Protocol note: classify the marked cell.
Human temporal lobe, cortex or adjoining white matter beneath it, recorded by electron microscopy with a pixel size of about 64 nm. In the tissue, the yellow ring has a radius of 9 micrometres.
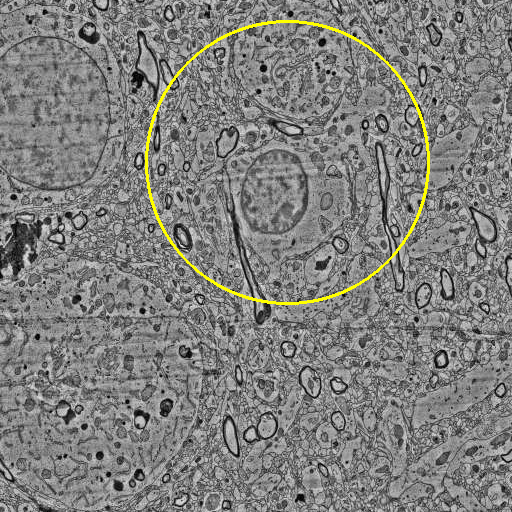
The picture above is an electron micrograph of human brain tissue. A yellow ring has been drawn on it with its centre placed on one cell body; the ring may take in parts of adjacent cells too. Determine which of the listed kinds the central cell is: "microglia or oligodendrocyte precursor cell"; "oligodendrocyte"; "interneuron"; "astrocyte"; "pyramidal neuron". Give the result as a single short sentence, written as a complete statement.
The central cell is an astrocyte.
